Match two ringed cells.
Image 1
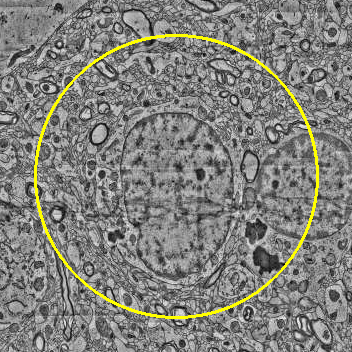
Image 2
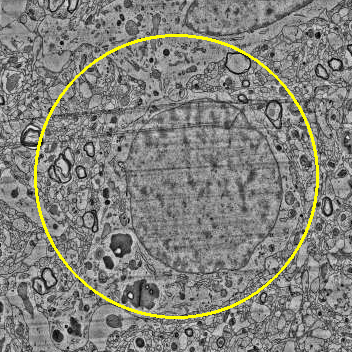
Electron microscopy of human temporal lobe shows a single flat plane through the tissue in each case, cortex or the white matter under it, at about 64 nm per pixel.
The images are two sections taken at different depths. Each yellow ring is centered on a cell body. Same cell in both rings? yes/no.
no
